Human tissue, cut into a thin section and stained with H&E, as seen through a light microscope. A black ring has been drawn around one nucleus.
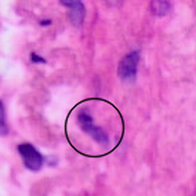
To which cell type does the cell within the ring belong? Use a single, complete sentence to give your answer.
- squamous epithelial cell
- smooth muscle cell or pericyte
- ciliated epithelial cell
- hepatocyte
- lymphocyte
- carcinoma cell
So far as cell type goes, the cell within the ring is a smooth muscle cell or pericyte.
